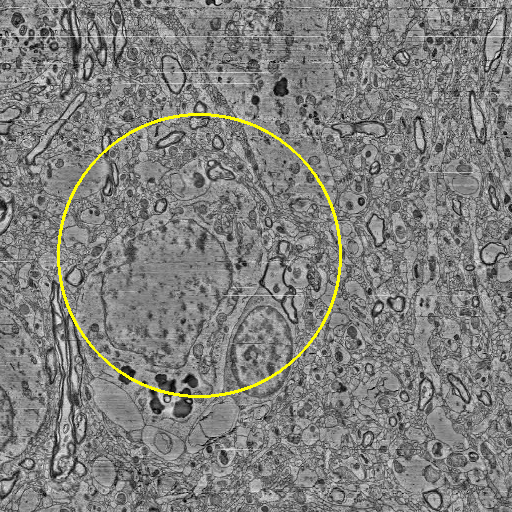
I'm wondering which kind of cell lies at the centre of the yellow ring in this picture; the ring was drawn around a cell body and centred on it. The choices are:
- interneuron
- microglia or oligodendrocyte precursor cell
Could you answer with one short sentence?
At the centre of the ring lies an interneuron.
